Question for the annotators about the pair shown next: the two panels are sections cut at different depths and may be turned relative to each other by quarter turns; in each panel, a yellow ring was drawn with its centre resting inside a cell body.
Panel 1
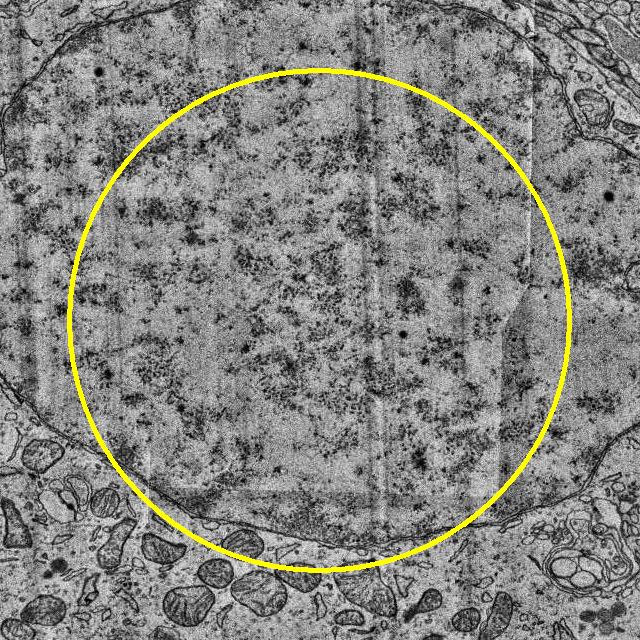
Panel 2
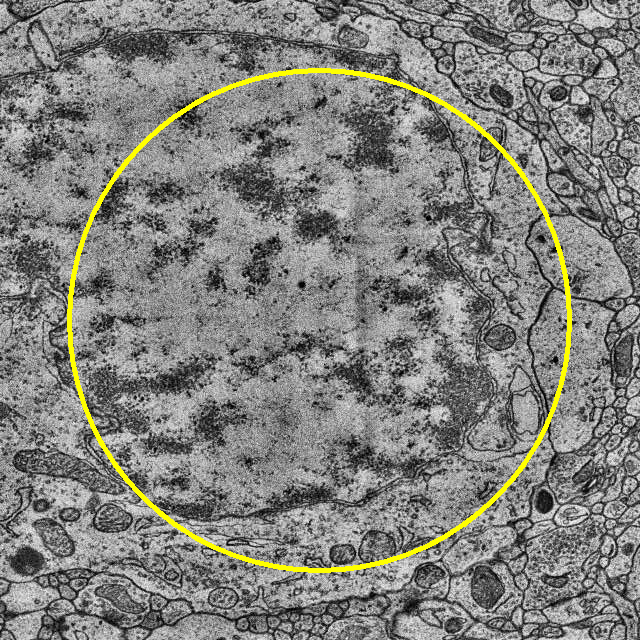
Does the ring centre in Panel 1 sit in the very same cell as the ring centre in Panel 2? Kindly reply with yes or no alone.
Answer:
no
